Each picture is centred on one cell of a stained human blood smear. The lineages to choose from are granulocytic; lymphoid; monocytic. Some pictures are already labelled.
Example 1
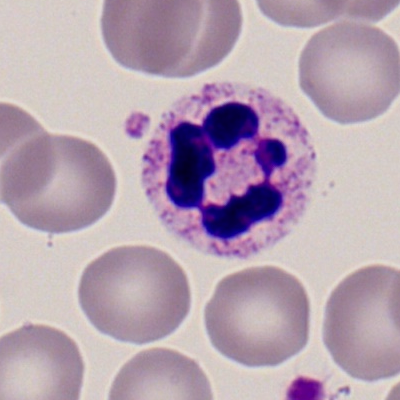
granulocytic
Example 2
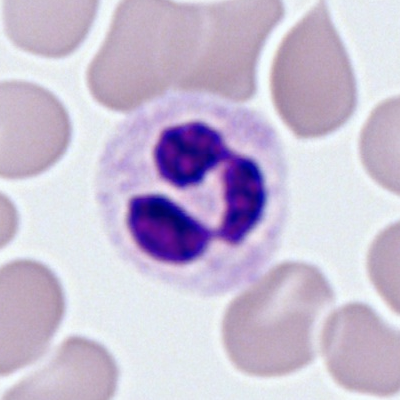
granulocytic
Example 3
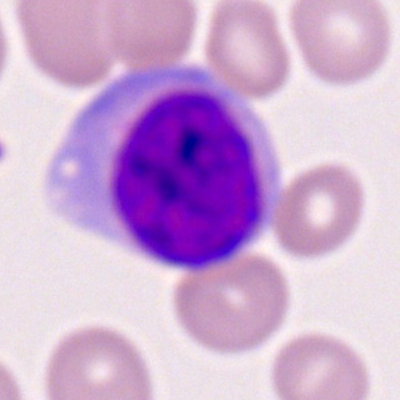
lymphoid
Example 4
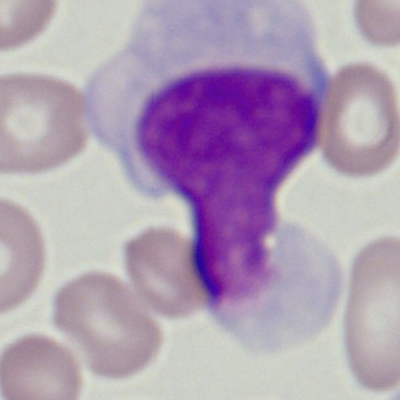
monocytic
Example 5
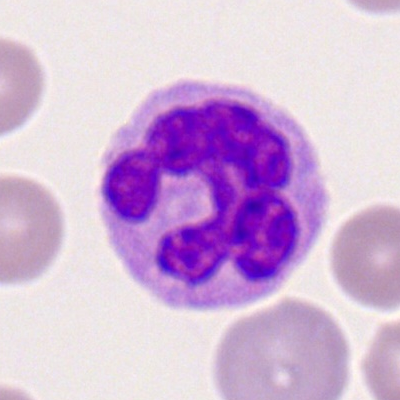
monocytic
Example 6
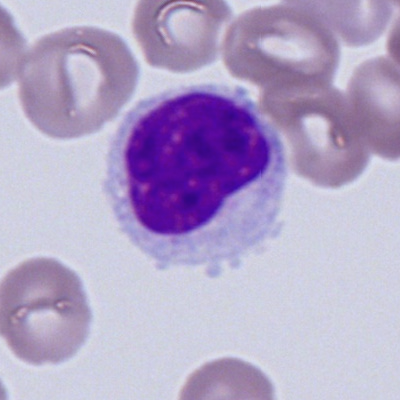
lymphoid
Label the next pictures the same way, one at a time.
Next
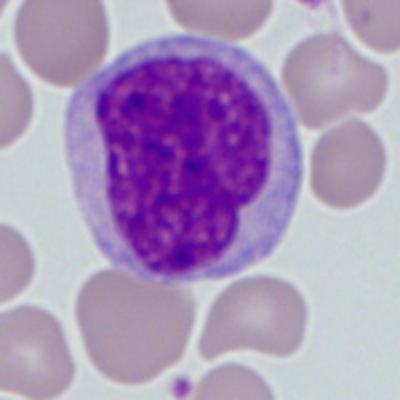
monocytic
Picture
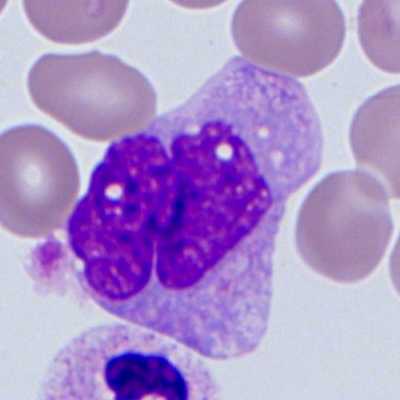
monocytic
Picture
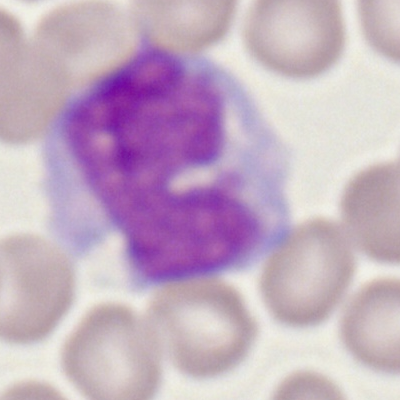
monocytic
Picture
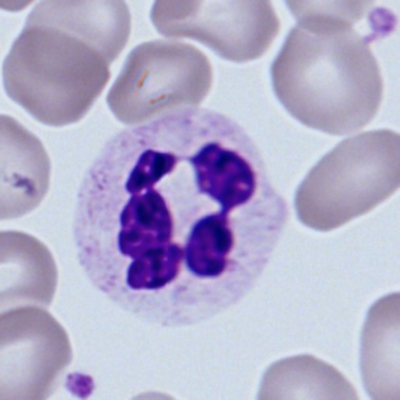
granulocytic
